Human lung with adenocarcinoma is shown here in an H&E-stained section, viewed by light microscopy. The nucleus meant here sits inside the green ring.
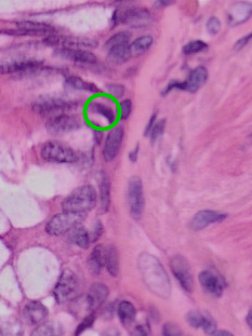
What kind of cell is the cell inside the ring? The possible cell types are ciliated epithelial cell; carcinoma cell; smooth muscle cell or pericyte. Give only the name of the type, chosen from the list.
ciliated epithelial cell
